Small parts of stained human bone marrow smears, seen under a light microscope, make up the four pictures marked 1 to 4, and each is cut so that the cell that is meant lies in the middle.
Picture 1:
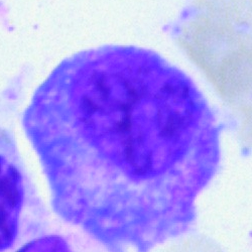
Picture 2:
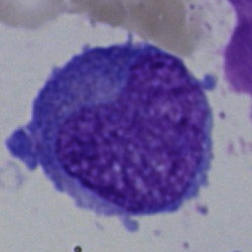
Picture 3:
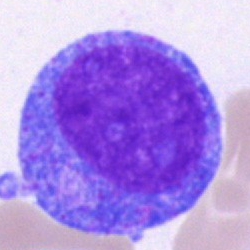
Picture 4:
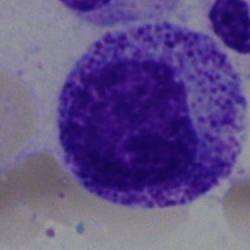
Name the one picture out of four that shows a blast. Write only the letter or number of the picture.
2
